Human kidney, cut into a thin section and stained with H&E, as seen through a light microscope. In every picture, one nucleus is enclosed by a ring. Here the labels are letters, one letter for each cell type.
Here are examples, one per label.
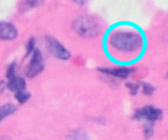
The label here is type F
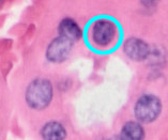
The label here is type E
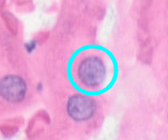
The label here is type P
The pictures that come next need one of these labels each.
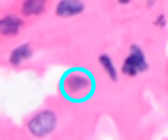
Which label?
type F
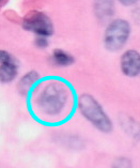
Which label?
type E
